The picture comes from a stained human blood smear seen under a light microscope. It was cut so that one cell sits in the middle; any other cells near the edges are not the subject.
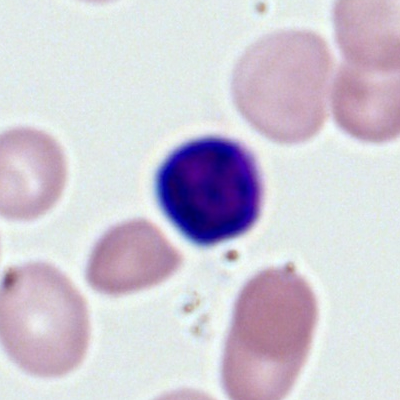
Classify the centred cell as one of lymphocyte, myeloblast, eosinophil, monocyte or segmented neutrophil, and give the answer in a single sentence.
Framed in the middle of the crop is a lymphocyte.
